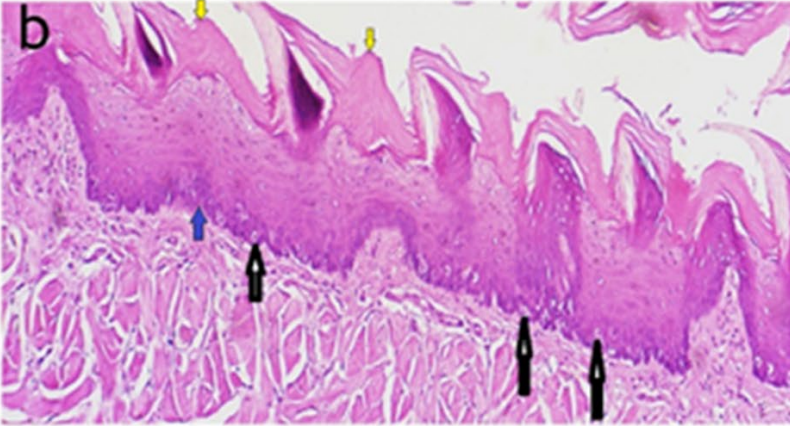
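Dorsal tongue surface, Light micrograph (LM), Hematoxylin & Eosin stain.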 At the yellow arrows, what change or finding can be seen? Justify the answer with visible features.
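The arrows point to thick, pale pink keratin layers capping the papillae. The keratin layer is broad and layered over the surface.
Conclusion: hyperkeratosis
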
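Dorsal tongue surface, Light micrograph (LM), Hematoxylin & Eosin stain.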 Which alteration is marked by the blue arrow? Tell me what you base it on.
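Basal cell hyperplasia. The arrow points to the basal part of the epithelium, which forms a thick, densely nucleated, dark purple band. The epithelium above the connective tissue is markedly thickened.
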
